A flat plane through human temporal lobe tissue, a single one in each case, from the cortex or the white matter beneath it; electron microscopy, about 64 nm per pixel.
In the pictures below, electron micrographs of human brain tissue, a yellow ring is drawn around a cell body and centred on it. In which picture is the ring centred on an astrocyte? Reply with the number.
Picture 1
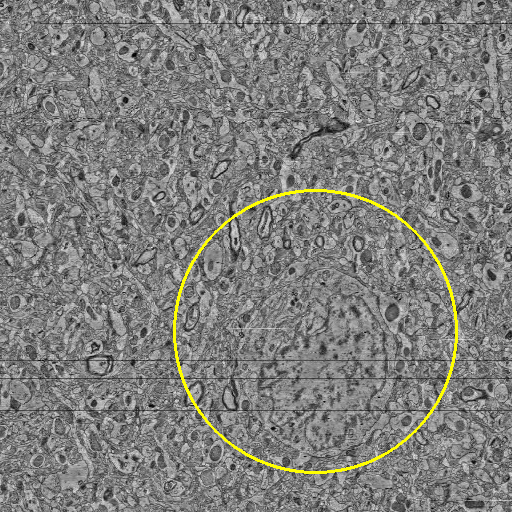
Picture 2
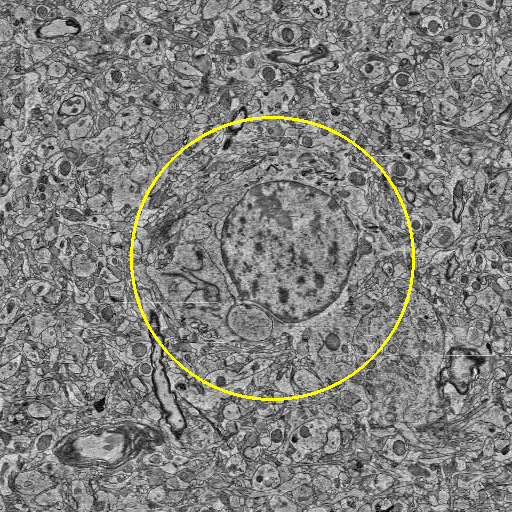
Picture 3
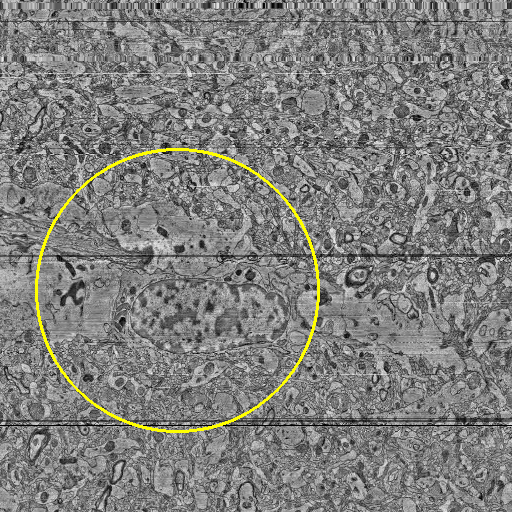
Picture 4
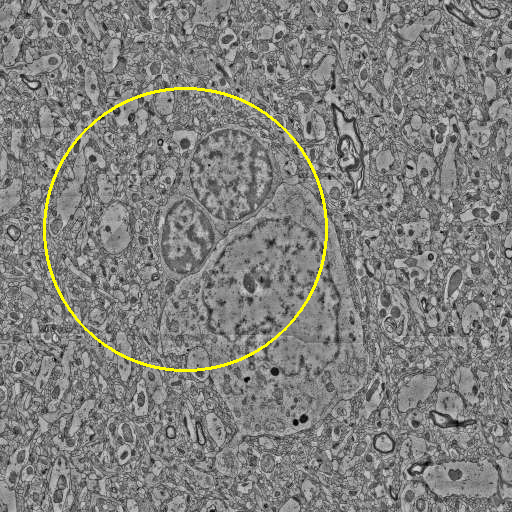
2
